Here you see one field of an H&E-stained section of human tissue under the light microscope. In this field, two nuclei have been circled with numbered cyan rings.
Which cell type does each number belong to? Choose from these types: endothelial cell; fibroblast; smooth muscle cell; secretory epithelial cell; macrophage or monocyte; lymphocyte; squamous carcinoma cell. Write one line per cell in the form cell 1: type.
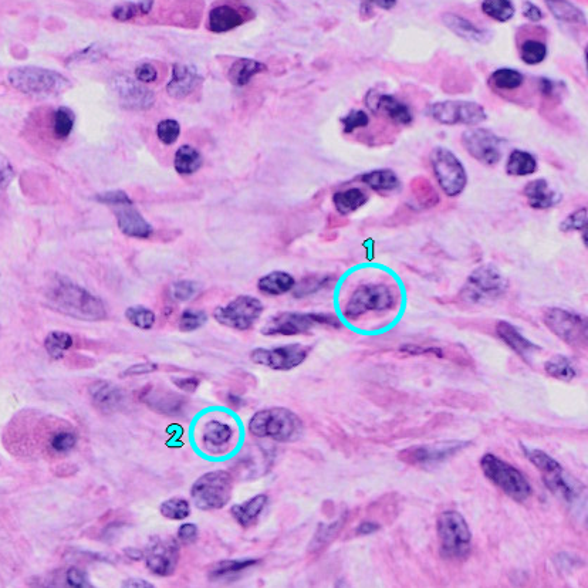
cell 1: macrophage or monocyte
cell 2: lymphocyte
